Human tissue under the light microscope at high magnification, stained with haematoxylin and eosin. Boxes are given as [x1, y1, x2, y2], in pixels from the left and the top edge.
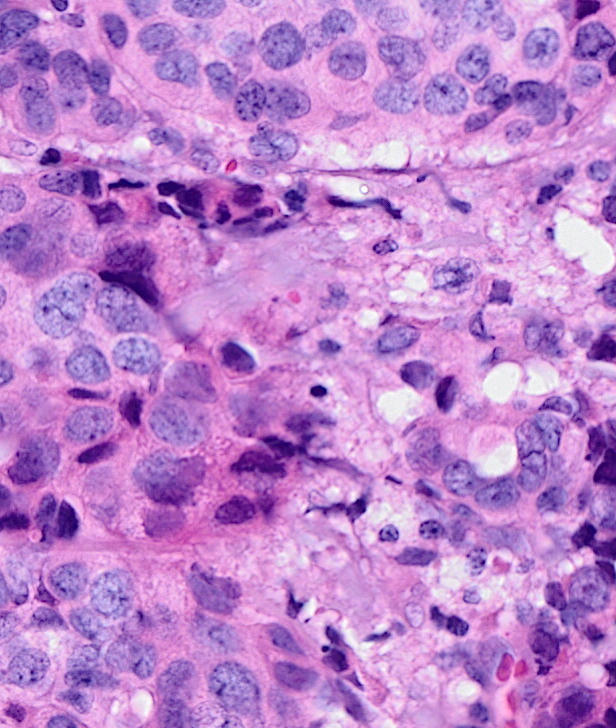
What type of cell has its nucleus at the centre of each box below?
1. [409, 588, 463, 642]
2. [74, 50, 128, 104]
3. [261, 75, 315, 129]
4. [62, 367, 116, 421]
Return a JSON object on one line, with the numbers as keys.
{"1": "lymphocyte", "2": "carcinoma cell", "3": "carcinoma cell", "4": "carcinoma cell"}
